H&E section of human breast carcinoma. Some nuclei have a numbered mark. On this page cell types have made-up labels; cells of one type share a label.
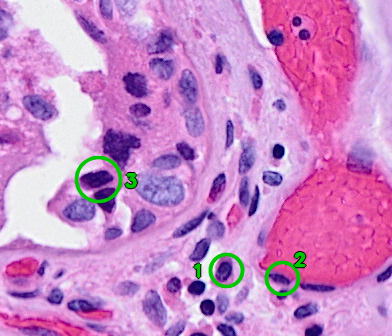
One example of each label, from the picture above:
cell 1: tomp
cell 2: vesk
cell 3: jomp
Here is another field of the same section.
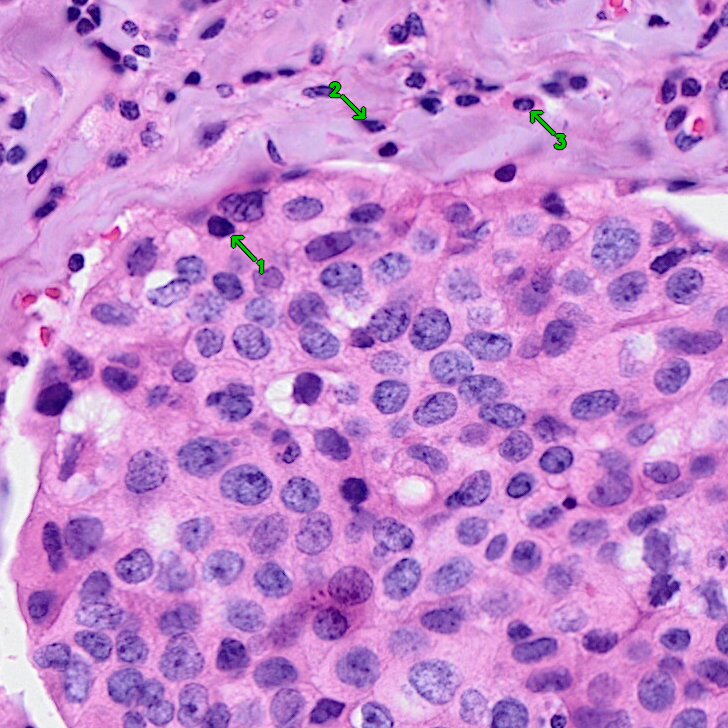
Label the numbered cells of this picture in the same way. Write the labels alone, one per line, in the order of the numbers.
jomp
tomp
tomp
